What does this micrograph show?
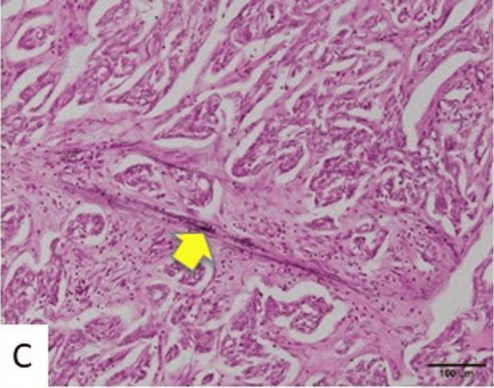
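This shows tumor tissue made of many irregular, branching cords of tumor cells separated by pale pink fibrous stroma. Across the middle of the field runs a long channel whose wall is outlined by a thin dark blue-violet line. Tumor cells crowd against and within this walled channel, which is the picture of vascular invasion. The tumor cells have dark purple nuclei and are packed in cords with clefts around them. Small dark nuclei are scattered in the stroma near the channel.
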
